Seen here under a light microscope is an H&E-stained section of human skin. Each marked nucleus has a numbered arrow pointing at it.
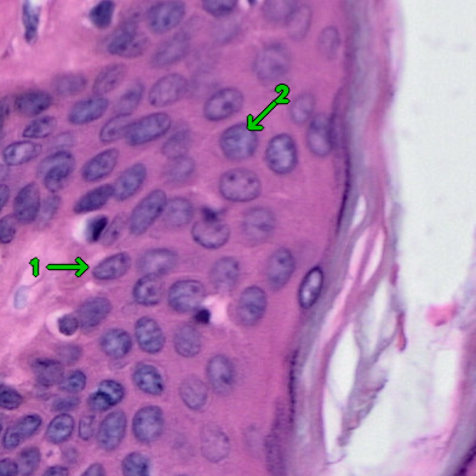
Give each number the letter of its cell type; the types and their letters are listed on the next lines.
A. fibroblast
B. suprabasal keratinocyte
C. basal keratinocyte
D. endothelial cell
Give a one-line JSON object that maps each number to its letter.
{"1": "C", "2": "B"}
